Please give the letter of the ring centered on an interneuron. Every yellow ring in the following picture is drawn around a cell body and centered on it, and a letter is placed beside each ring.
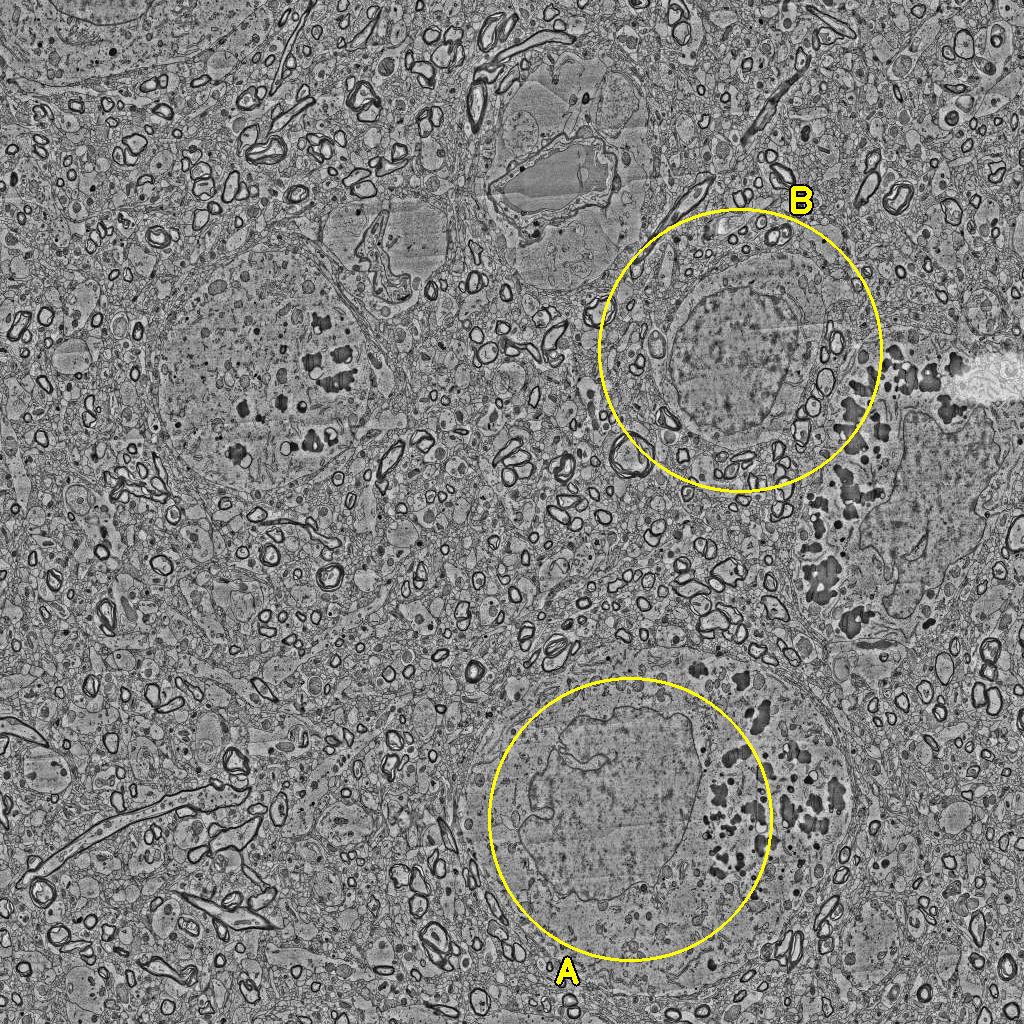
B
